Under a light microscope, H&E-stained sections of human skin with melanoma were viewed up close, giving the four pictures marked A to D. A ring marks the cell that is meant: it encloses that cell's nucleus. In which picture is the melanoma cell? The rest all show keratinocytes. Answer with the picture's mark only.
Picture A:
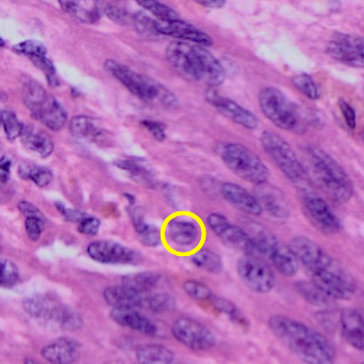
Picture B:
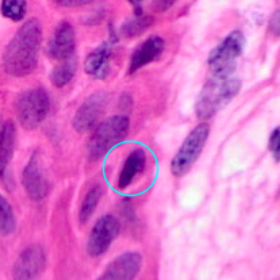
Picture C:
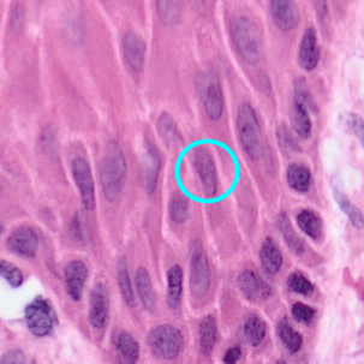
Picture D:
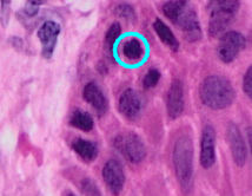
A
